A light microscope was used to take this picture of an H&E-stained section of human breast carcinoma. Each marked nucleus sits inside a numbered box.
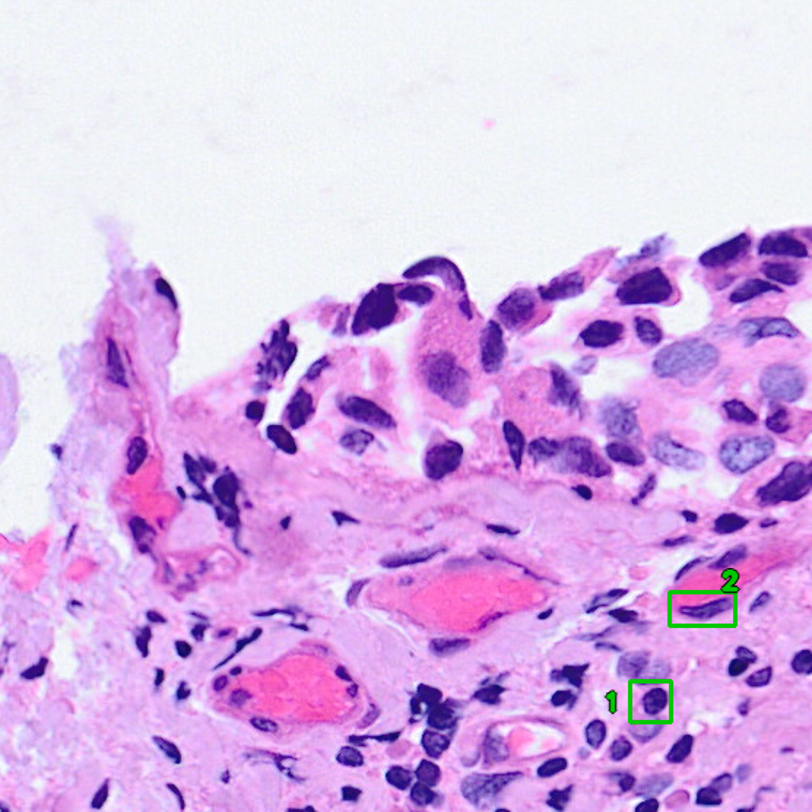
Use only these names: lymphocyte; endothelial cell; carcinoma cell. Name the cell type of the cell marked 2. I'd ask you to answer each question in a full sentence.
The cell that is numbered 2 is an endothelial cell.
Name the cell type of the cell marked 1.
Of the numbered cells, the one labelled 1 is a lymphocyte.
